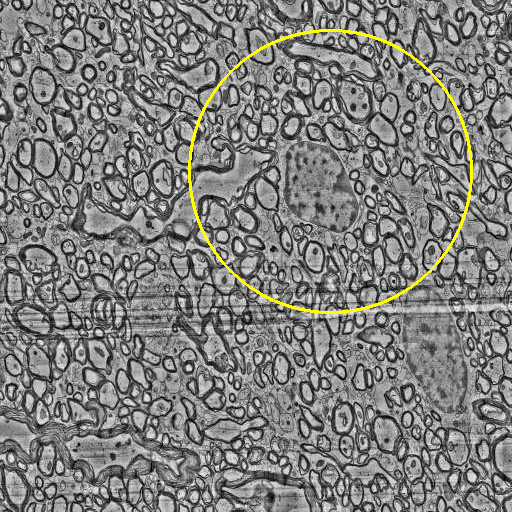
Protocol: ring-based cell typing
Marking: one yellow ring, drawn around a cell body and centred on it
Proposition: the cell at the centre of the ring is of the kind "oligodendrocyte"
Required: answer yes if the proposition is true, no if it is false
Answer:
no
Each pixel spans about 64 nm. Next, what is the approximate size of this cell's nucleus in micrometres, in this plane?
In this plane, about 6 micrometres in length and 4 in width.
